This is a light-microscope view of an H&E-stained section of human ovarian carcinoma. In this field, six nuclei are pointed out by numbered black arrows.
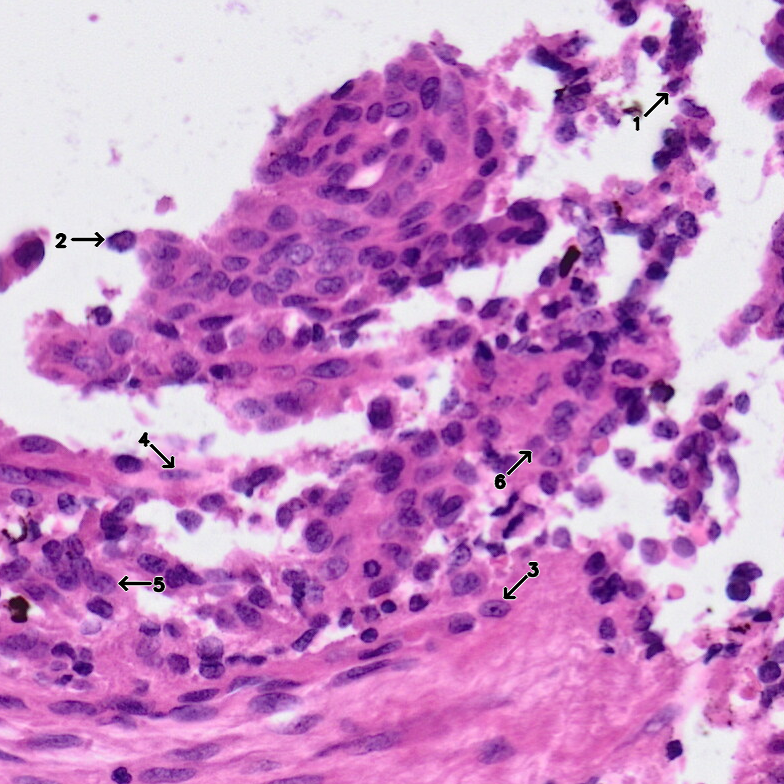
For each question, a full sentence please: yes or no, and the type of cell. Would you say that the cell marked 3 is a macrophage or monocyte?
Yes, that is so; number 3 marks a macrophage or monocyte.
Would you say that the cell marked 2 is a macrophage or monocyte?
No, cell 2 is not a macrophage or monocyte; a carcinoma cell is correct.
